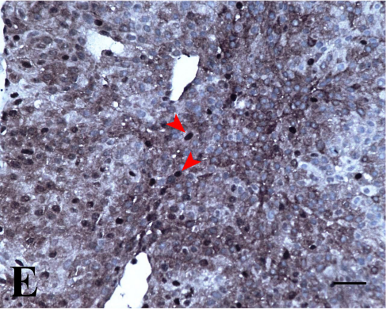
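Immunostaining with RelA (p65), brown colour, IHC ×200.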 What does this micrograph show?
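Many nuclei are stained dark brown, scattered among cells with paler nuclei. The cytoplasm takes a lighter brown tint in places and is pale blue-grey elsewhere. Small clefts and spaces interrupt the sheet of cells.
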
